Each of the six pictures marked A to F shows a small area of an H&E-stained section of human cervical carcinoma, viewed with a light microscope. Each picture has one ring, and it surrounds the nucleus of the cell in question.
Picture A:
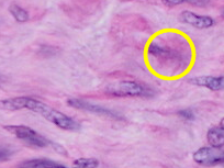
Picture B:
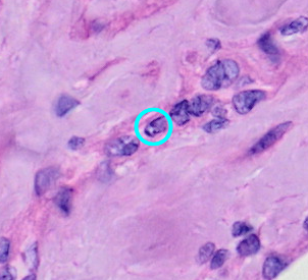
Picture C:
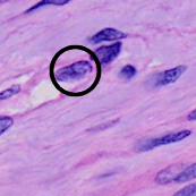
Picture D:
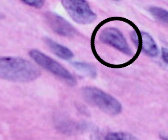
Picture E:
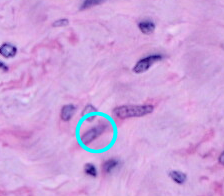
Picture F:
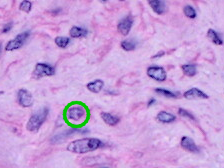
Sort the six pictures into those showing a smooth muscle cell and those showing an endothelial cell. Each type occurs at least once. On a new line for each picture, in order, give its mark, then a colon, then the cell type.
A: smooth muscle cell
B: endothelial cell
C: endothelial cell
D: endothelial cell
E: smooth muscle cell
F: smooth muscle cell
